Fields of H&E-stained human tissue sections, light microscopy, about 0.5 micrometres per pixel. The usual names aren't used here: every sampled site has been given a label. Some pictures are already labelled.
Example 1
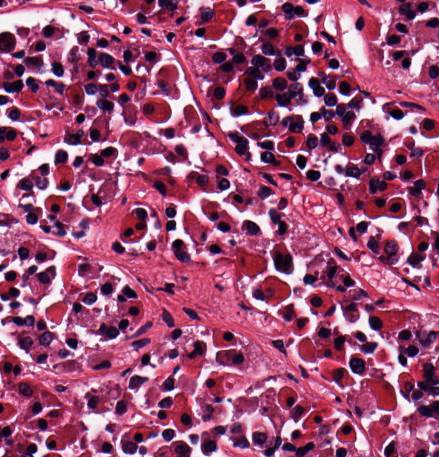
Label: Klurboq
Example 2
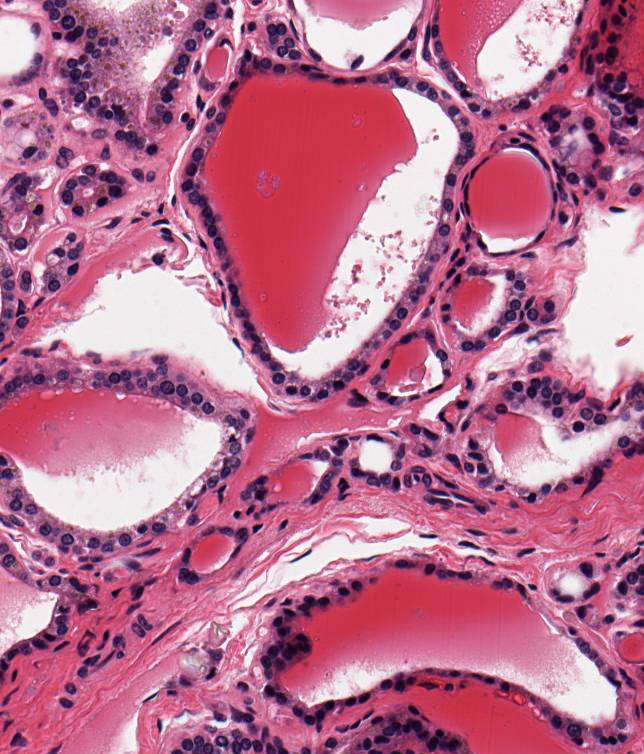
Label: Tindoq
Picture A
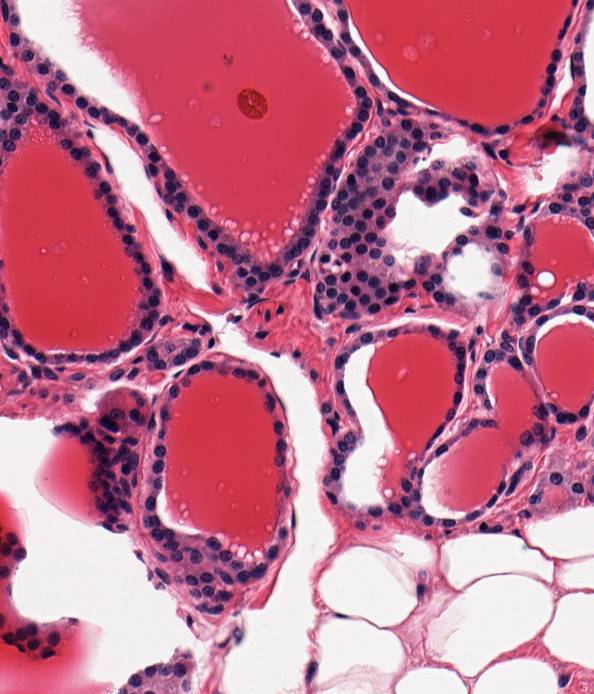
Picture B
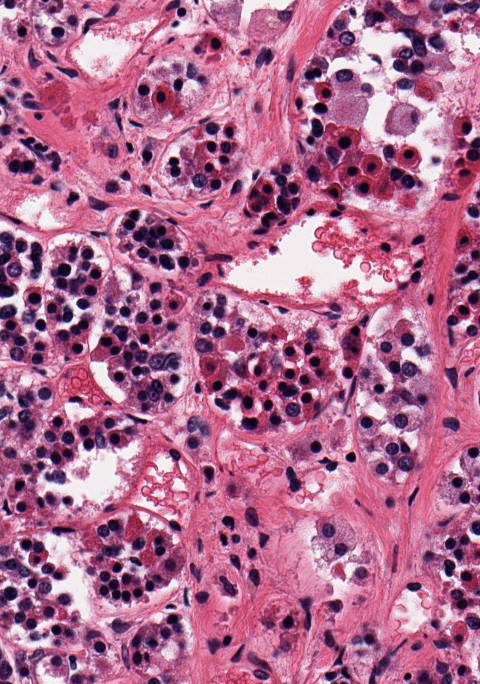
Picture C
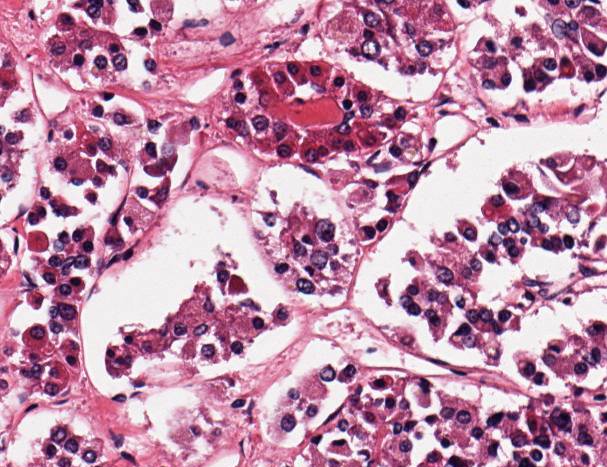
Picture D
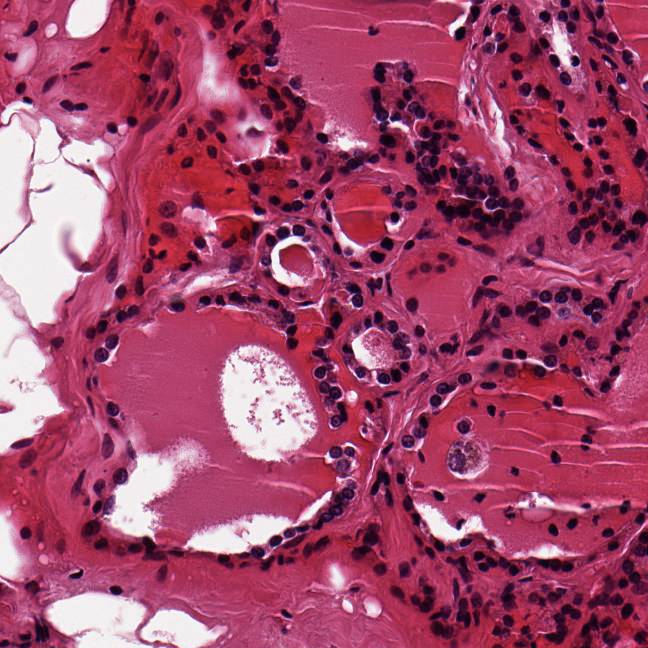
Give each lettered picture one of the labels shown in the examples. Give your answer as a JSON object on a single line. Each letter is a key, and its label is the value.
{"A": "Tindoq", "B": "Klurboq", "C": "Klurboq", "D": "Tindoq"}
